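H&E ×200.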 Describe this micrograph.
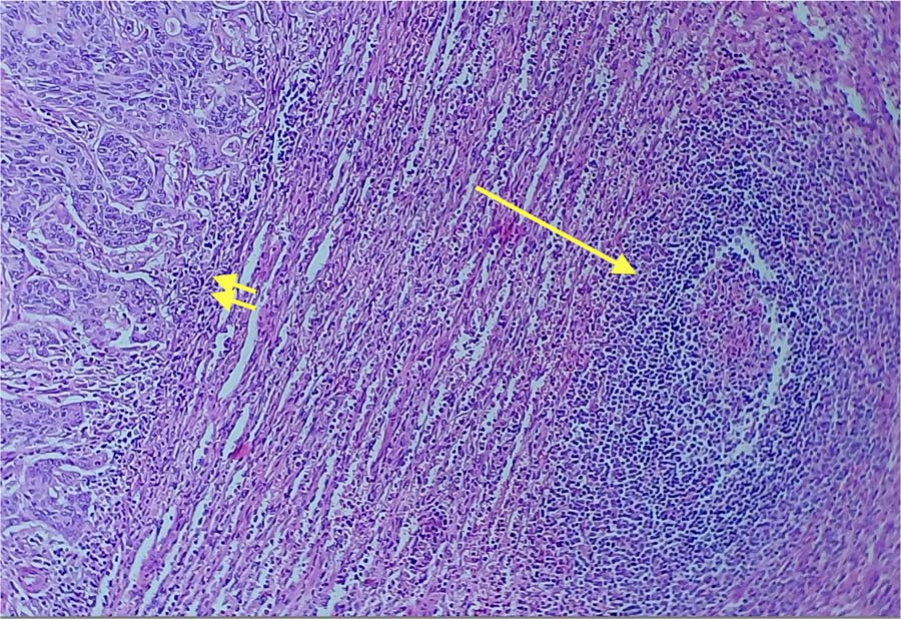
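Splenic parenchyma infiltrated by a glandular carcinoma, stained pink and purple. On the left, crowded epithelial cells with enlarged, darkly stained nuclei form irregular glands and solid nests separated by thin stroma. The centre shows red pulp, with pink cords and elongated, slit-like sinus spaces running in parallel streaks, scattered small dark lymphoid cells, and red blood cells. On the right lies white pulp: a rounded, dense nodule of small lymphocytes with scanty cytoplasm and dark round nuclei, arranged around a small vessel-like space. The carcinoma nests abut the red pulp directly, with no capsule separating them.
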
